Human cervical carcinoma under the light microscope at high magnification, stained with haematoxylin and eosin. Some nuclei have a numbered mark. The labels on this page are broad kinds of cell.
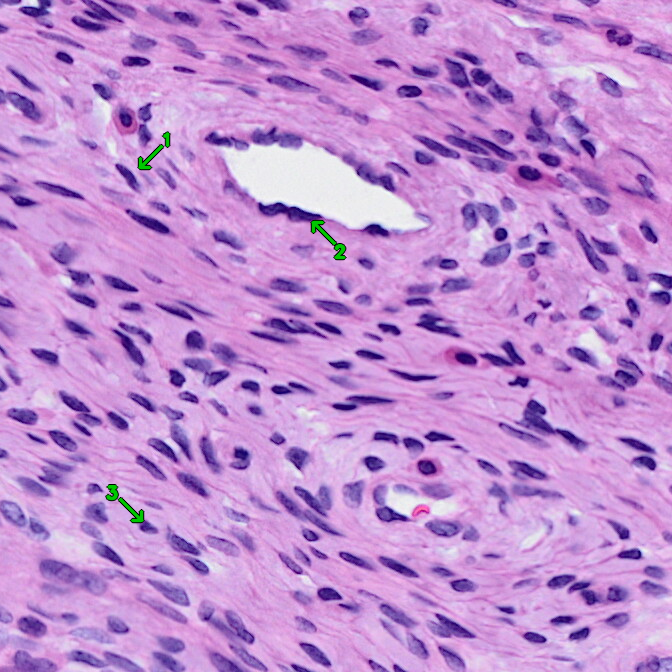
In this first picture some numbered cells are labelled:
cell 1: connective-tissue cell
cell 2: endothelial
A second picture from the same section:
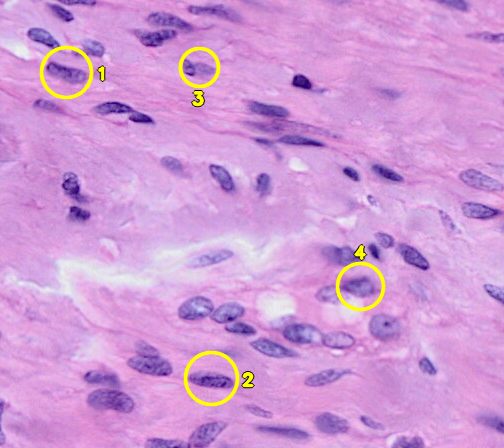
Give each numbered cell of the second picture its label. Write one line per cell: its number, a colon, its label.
1: connective-tissue cell
2: connective-tissue cell
3: connective-tissue cell
4: endothelial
